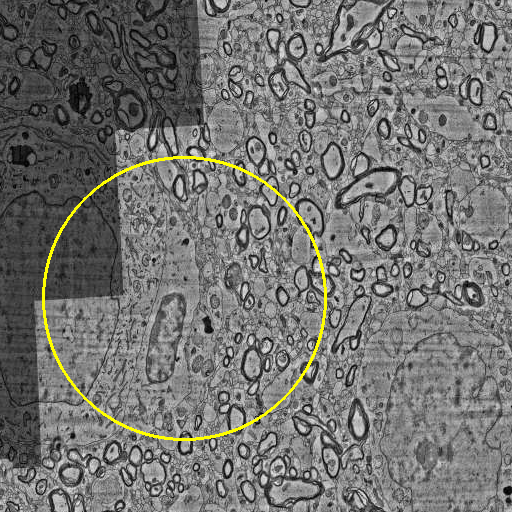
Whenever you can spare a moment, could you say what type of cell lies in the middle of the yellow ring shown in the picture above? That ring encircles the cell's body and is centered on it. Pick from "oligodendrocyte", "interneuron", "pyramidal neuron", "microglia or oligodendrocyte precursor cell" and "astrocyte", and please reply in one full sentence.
The cell whose body sits at the middle of the yellow ring is an oligodendrocyte.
